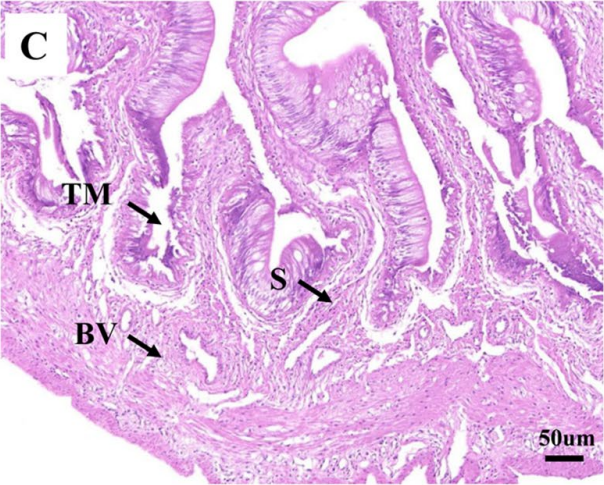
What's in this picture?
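This section shows the intestinal mucosa and the underlying layers. Mucosal folds are lined by tall columnar epithelium. The epithelial cells have elongated purple nuclei arranged near their bases, and many pale, vacuolated goblet-like cells lie among them, clustered especially in the folds near the top. The cores of the folds and the region beneath them hold loose connective tissue of the submucosa, with scattered nuclei and small open blood vessels. At the bottom, a thicker band of pink, compact smooth muscle runs along the outer wall.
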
